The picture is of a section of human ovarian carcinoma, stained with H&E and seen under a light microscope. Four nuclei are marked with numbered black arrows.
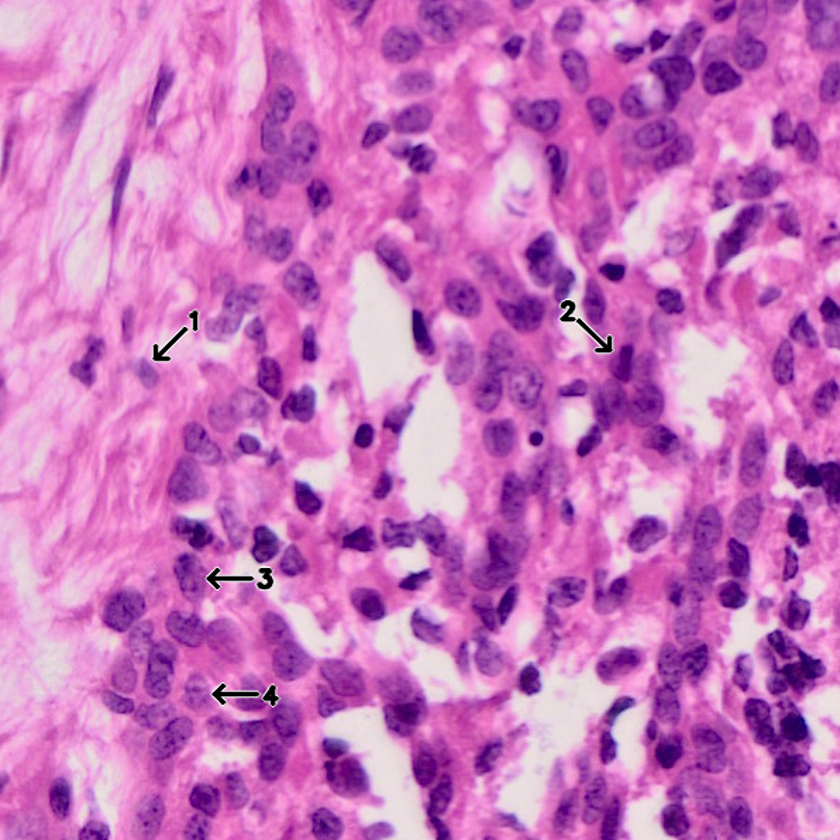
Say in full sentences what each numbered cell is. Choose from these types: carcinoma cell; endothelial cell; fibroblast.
Cell 1 is a fibroblast. Cells 2, 3 and 4 are carcinoma cells.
